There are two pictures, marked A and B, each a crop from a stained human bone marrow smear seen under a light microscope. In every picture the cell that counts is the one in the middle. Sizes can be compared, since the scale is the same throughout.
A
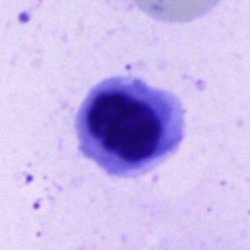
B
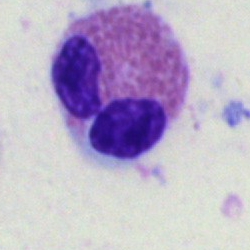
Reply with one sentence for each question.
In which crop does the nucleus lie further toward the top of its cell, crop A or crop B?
Seen within its cell, the nucleus in crop A lies further toward the top.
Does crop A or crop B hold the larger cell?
It is the cell in crop B, about 2 times as large in area as the cell in crop A.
